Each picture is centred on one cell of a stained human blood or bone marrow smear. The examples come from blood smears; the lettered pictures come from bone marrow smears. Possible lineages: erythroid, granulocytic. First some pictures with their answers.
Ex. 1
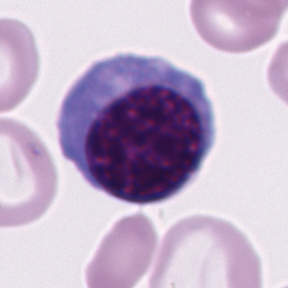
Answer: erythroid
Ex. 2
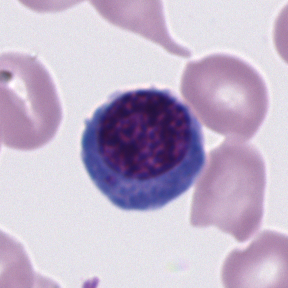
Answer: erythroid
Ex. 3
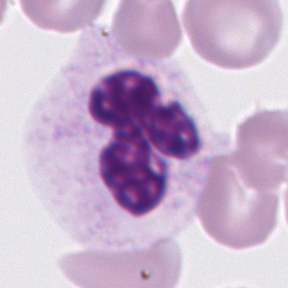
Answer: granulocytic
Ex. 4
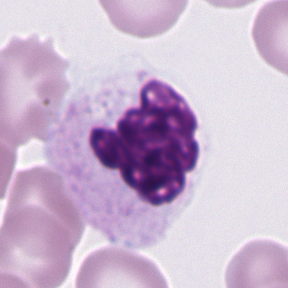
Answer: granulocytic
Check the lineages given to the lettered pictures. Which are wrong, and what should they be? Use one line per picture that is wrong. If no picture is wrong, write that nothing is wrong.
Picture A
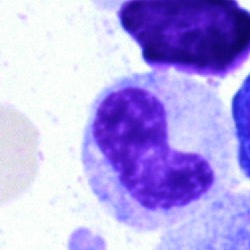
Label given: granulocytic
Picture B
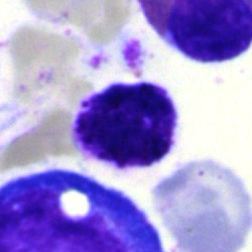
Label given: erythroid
B: granulocytic, not erythroid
